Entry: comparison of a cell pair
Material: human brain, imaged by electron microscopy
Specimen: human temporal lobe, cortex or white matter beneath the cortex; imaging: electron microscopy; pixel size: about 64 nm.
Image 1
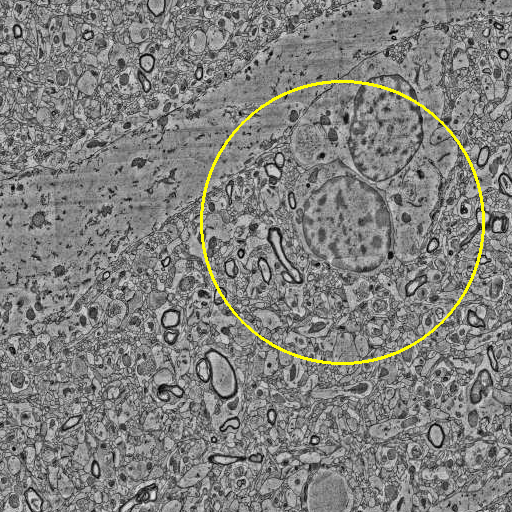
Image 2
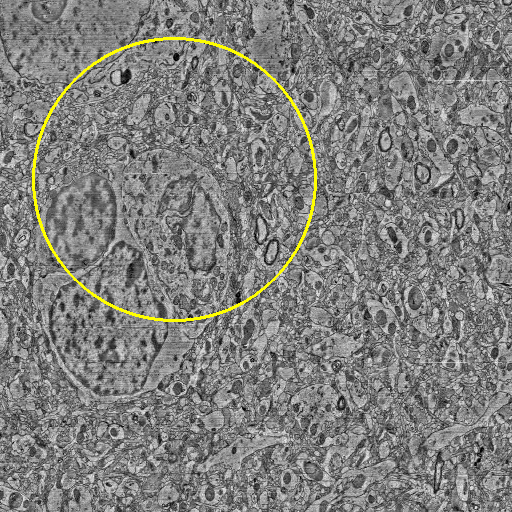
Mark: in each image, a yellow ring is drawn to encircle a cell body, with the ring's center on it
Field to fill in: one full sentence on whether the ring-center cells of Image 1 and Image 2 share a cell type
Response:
No, Image 1 and Image 2 show ring-center cells of two separate types.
